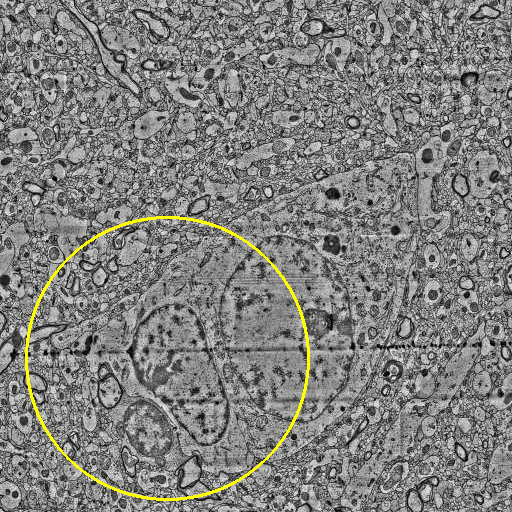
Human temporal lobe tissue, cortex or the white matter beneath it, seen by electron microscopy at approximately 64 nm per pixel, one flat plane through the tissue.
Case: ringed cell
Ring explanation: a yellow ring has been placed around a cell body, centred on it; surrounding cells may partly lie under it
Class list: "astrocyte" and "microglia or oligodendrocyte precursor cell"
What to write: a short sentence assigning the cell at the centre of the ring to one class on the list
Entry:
The cell at the ring's centre is a microglial cell or oligodendrocyte precursor cell.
